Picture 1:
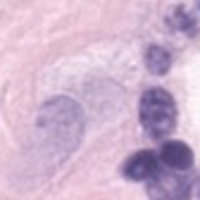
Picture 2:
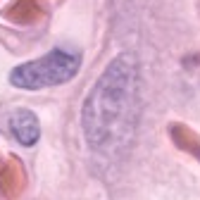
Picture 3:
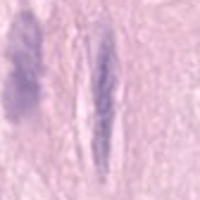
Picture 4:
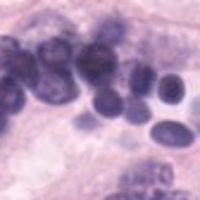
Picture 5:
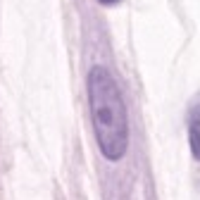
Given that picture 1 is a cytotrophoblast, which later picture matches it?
2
